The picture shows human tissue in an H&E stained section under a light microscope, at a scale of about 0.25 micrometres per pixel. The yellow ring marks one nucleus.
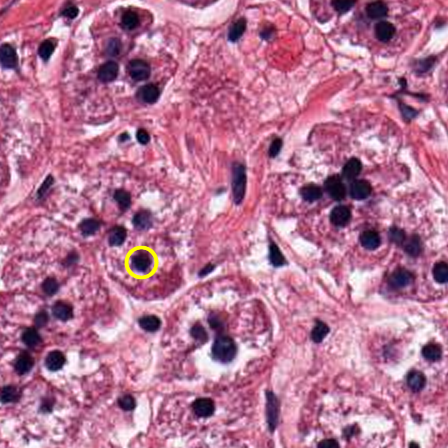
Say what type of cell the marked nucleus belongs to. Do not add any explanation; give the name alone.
adrenal cortical cell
